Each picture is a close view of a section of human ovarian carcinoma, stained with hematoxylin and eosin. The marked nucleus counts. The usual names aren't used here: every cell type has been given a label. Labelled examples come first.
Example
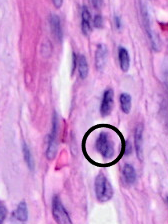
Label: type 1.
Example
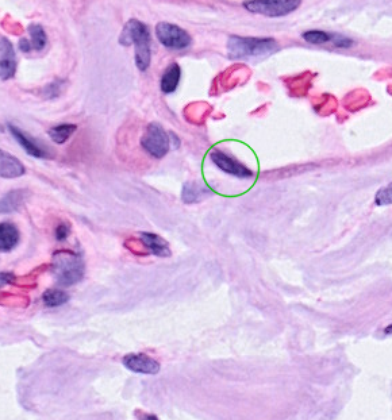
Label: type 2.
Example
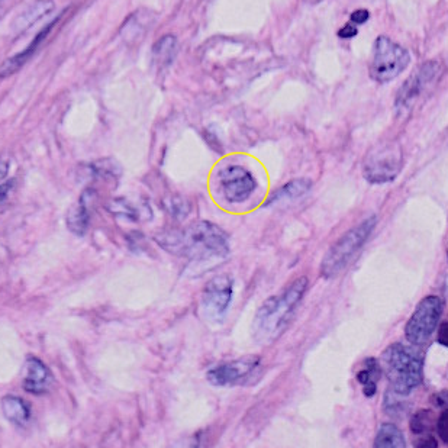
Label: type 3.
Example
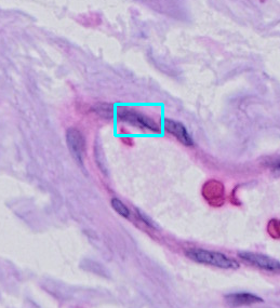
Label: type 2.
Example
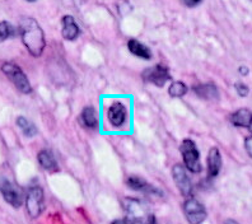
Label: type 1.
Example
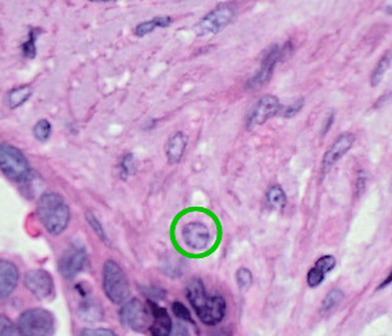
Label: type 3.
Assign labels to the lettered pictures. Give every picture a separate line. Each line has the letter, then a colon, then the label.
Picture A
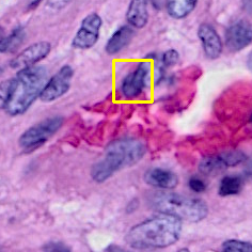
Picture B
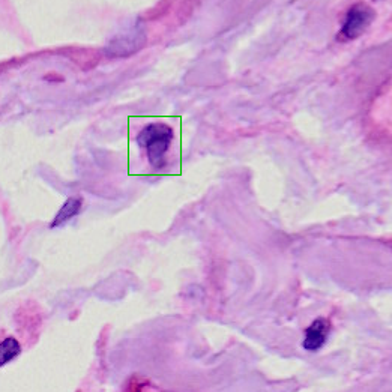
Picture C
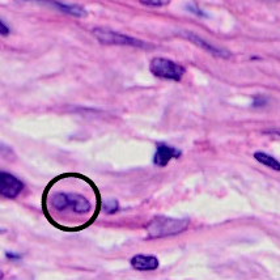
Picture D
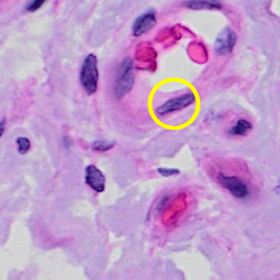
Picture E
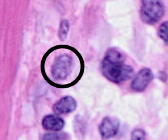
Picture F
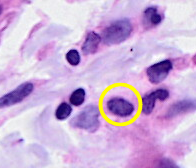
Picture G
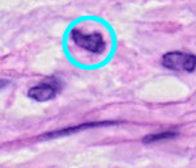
A: type 2.
B: type 3.
C: type 3.
D: type 2.
E: type 3.
F: type 1.
G: type 1.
